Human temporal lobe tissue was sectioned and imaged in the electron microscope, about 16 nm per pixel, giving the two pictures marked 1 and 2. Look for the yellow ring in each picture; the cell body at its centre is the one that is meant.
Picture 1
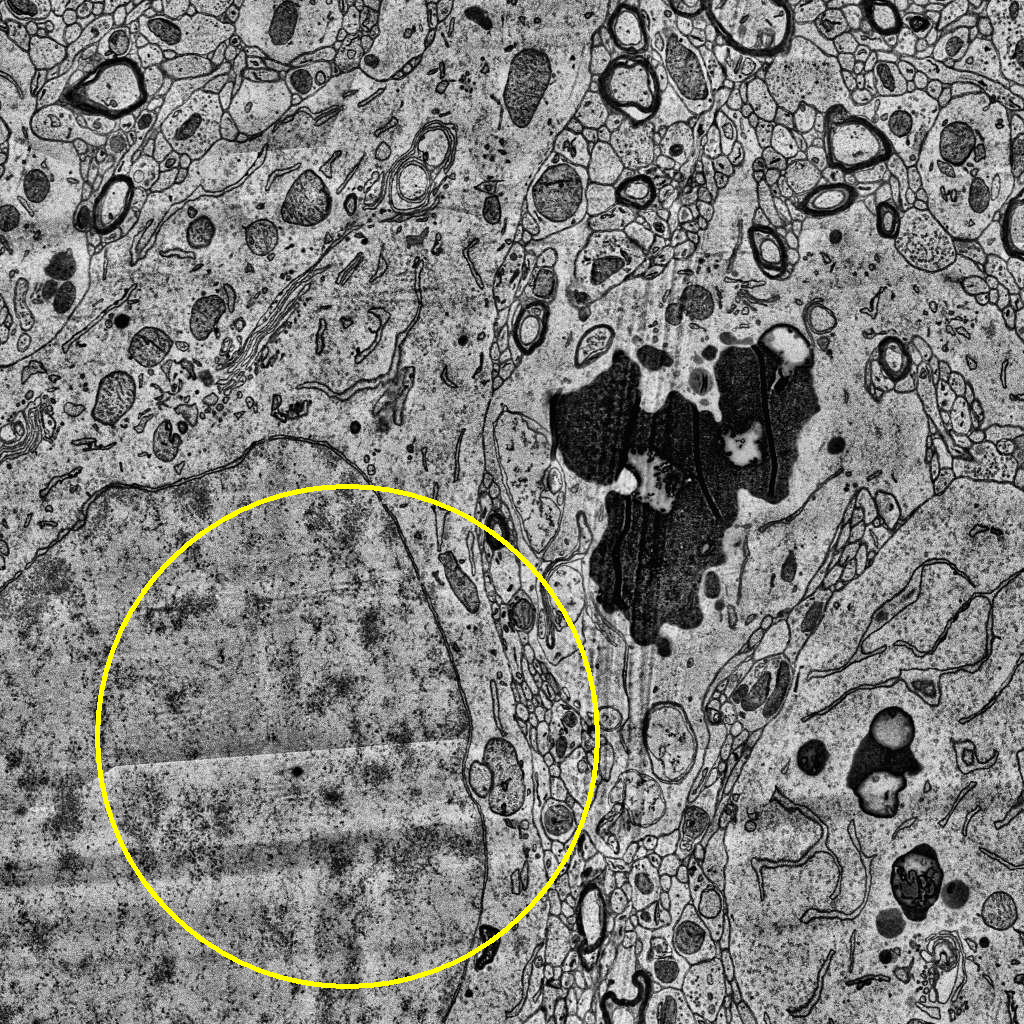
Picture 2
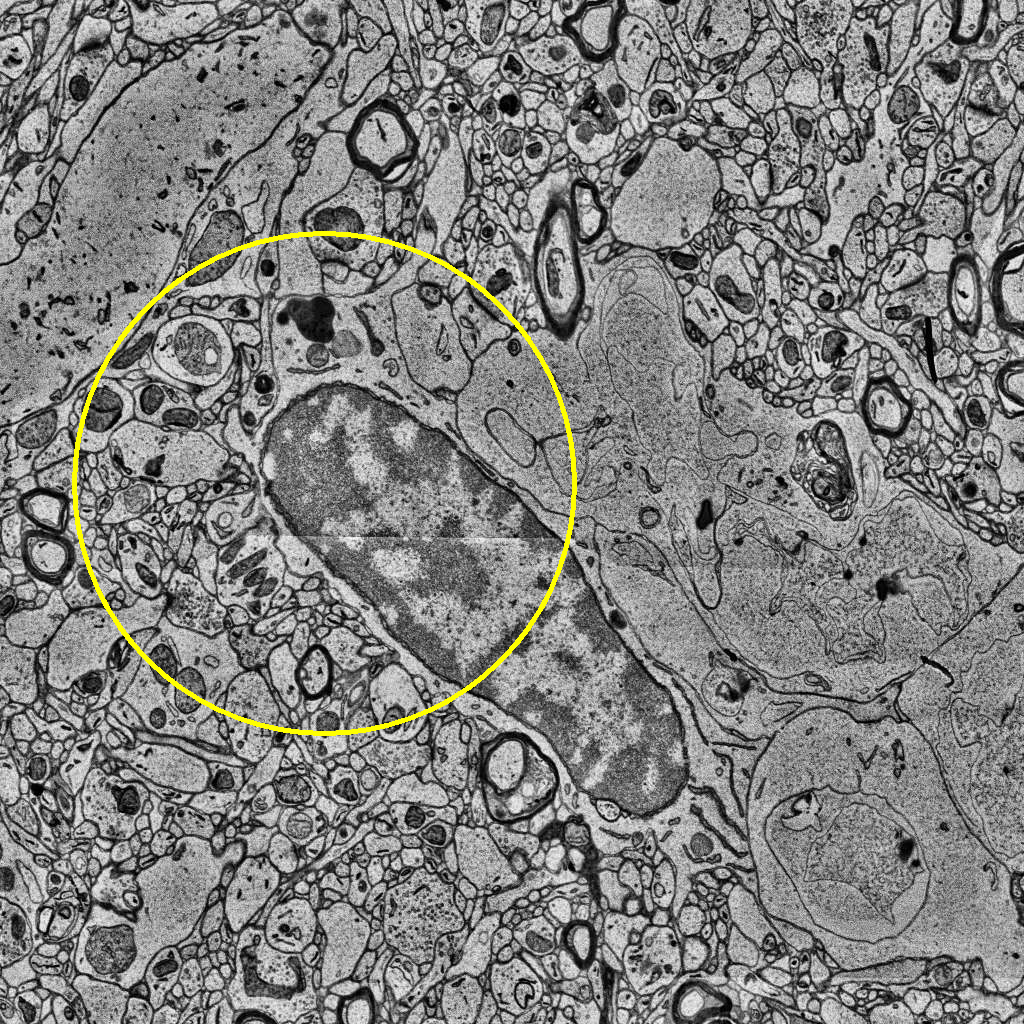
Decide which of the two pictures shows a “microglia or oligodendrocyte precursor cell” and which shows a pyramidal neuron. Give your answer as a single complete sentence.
In picture 1 the cell is a pyramidal neuron; in picture 2, a “microglia or oligodendrocyte precursor cell”.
